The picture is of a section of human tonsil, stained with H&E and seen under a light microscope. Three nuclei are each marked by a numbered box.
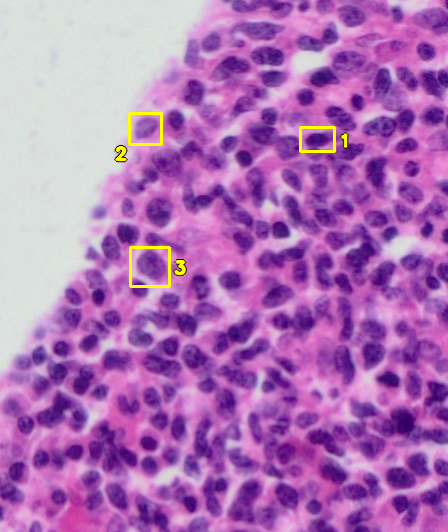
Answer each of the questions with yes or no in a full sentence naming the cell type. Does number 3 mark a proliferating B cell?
Yes, regarding cell number 3, it is a proliferating B cell.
